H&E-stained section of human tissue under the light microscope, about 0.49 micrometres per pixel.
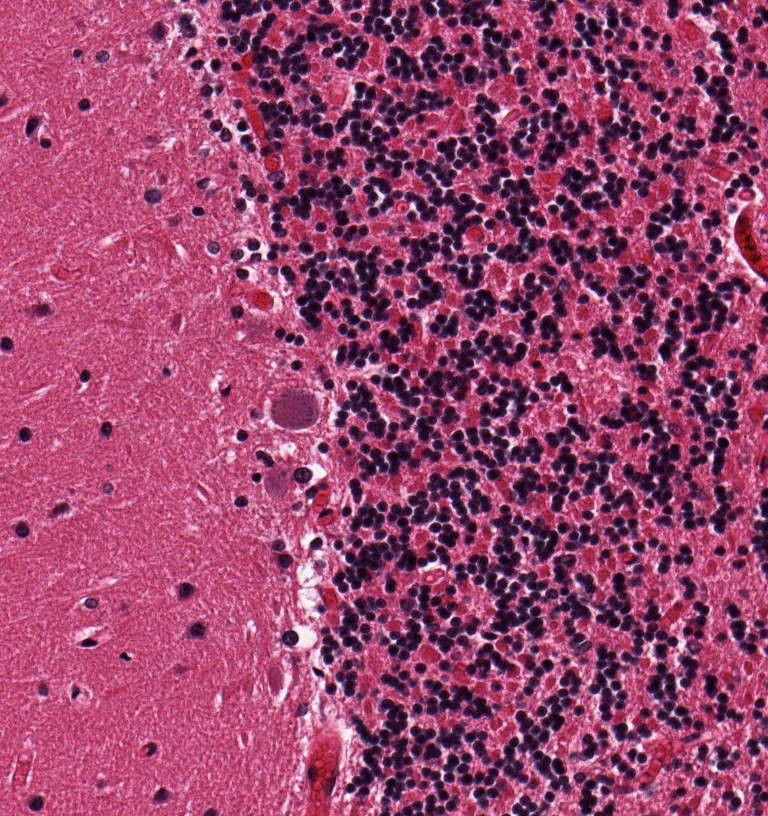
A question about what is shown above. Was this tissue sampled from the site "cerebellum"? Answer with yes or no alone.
yes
